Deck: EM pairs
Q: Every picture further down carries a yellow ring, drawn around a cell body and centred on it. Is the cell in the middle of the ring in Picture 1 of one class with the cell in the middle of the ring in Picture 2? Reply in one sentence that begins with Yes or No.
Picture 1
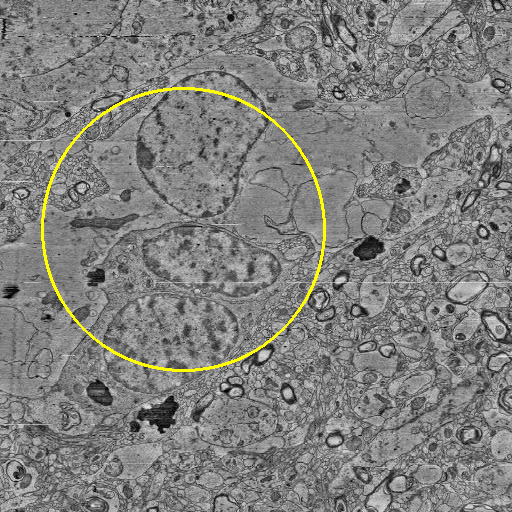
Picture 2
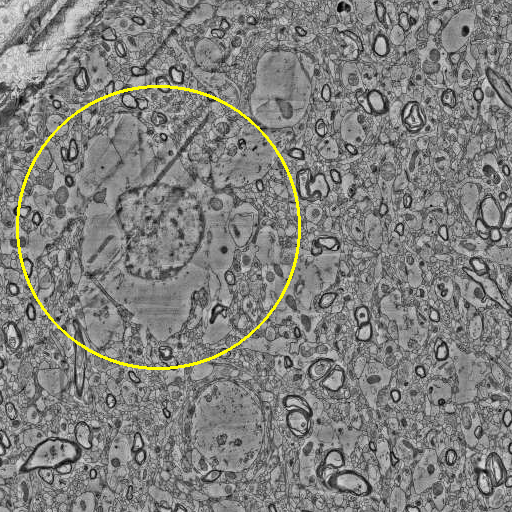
No, the cell centred in the ring of Picture 1 and the one in Picture 2 belong to separate classes.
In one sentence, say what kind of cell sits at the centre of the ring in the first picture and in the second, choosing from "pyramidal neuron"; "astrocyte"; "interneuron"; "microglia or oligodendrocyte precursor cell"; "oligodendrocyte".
The first picture's ringed cell is an oligodendrocyte, while the second picture's is an astrocyte.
